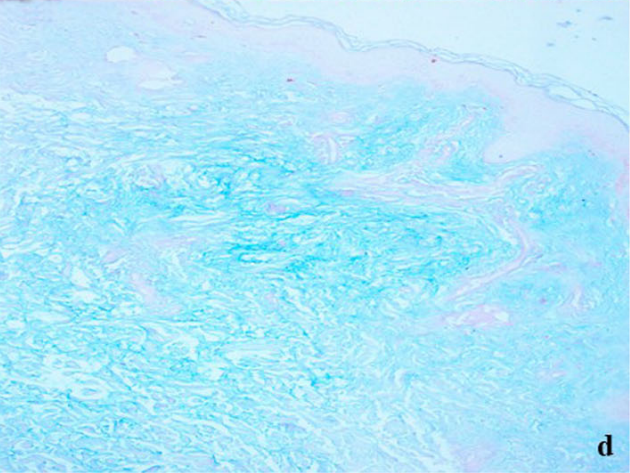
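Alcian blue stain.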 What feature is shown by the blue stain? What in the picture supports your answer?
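Blue-green material fills the dermis between fibres. The thin epidermis at the top right is largely unstained by the blue. The answer: dermal mucin.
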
